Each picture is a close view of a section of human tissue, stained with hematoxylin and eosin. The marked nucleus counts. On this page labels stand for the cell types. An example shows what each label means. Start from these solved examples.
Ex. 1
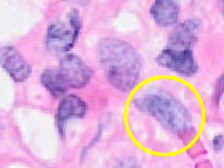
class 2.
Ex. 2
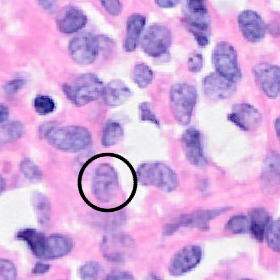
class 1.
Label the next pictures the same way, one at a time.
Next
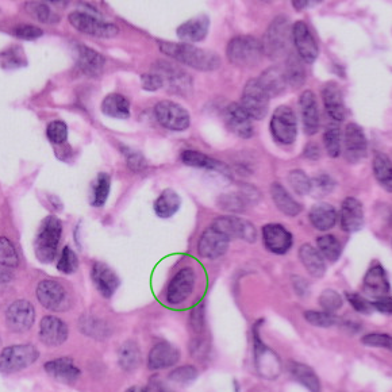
class 1.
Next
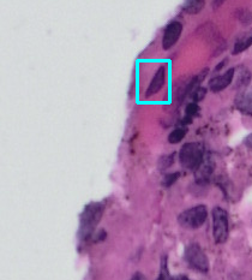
class 2.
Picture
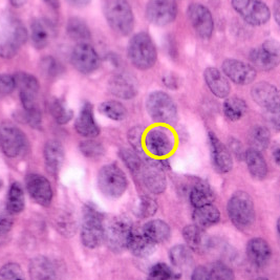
class 1.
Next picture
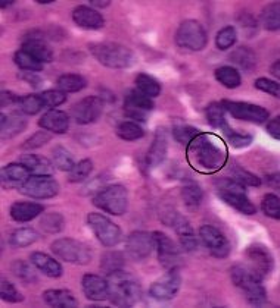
class 1.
